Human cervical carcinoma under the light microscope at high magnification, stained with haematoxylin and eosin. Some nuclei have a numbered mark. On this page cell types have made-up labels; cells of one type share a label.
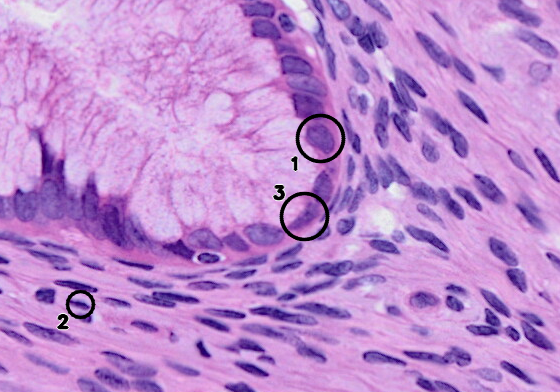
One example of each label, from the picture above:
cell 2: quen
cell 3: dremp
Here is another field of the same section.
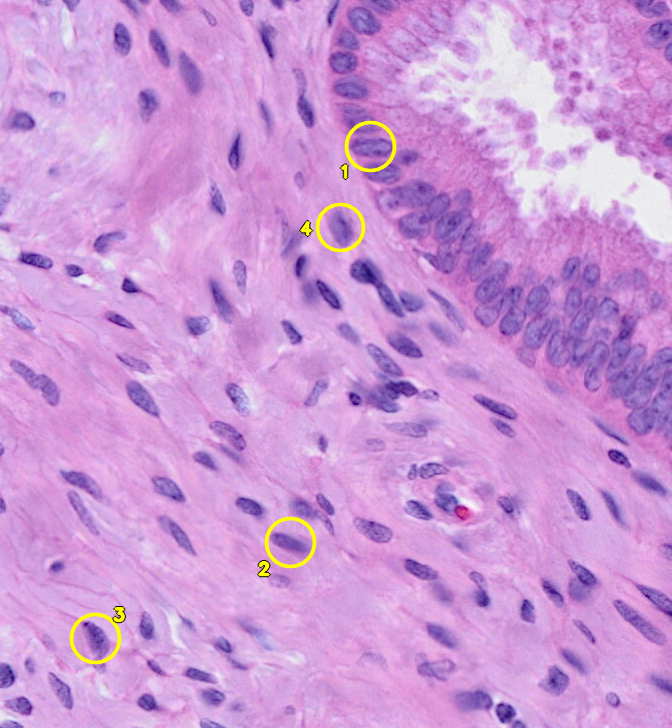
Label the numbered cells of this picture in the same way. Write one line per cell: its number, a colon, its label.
1: dremp
2: quen
3: quen
4: quen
